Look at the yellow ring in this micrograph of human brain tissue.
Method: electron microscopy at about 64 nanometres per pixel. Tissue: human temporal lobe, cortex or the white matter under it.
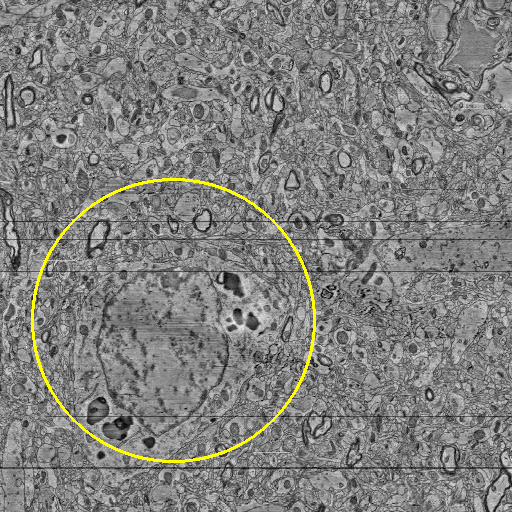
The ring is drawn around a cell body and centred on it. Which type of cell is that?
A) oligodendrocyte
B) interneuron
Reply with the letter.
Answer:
B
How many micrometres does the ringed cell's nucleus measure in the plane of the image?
The nucleus of the ringed cell is approximately 11 by 8 micrometres in this plane.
